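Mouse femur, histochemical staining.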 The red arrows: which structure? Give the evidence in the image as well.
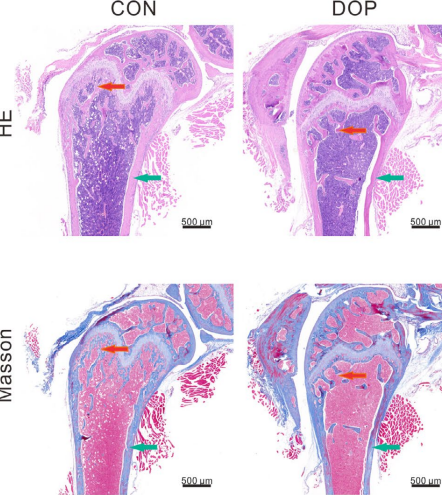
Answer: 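The arrows point just below the growth plate at the end of a long bone. Thin branching bony struts lie in the marrow space near the arrow tips. The answer: bone trabeculae.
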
